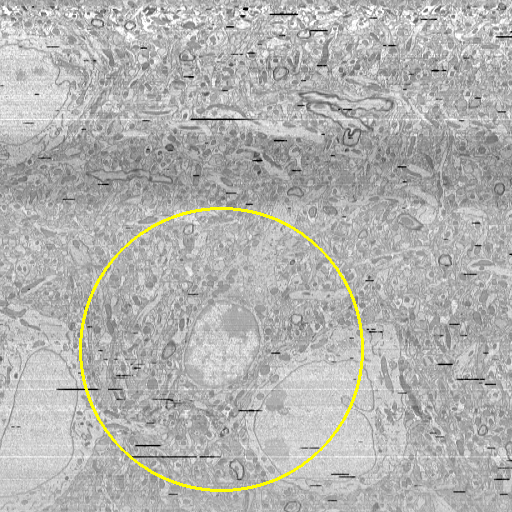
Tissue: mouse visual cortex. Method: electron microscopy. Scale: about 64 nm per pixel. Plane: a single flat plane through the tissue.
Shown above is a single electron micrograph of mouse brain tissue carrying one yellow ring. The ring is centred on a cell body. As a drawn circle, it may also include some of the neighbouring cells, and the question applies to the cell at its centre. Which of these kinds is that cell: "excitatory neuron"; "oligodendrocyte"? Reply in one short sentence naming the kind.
The cell marked by the ring is an oligodendrocyte.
